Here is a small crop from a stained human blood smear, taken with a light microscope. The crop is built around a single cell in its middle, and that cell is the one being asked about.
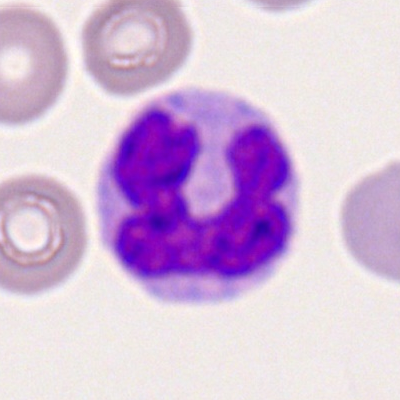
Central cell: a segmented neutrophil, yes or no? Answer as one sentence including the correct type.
No, a monocyte, not a segmented neutrophil, is what sits in the centre of the crop.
